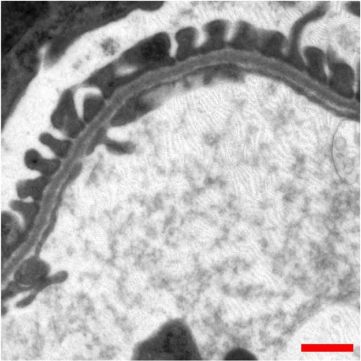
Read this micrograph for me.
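This electron micrograph shows a stretch of the glomerular filtration barrier with the foot processes of podocytes lined up along it. A continuous grey band runs diagonally across the field, and on its outer side sits a row of dark, finger-like foot processes. On the other side of the band lies a pale, finely granular space. Above the row of processes, larger dark cell bodies with their cytoplasm can be seen.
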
